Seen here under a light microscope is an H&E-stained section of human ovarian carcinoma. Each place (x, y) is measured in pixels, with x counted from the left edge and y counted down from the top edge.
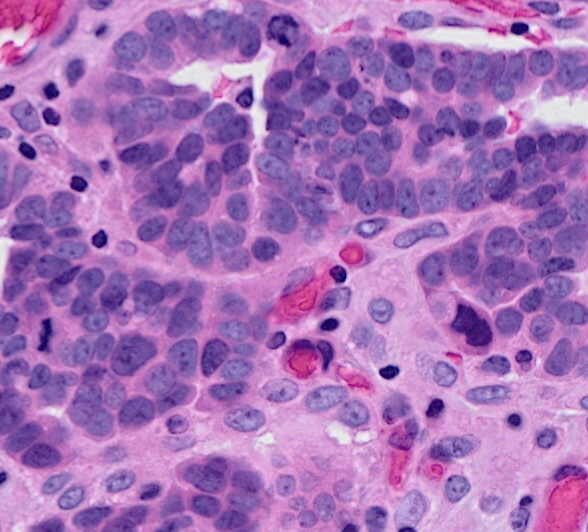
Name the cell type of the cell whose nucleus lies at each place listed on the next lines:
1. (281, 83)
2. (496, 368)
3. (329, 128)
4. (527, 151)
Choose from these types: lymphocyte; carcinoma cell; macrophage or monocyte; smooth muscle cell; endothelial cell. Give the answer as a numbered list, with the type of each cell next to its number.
1. carcinoma cell
2. macrophage or monocyte
3. carcinoma cell
4. carcinoma cell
